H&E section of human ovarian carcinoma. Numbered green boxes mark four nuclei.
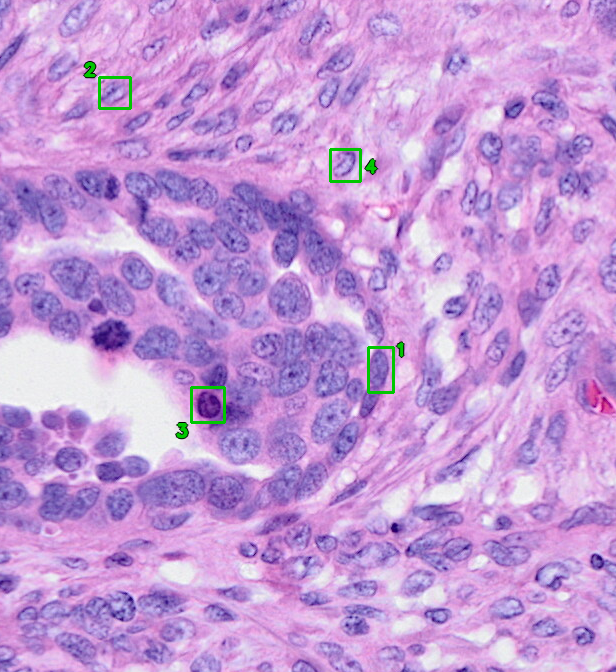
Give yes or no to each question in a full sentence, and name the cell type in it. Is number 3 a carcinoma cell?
Yes, the cell marked by the number 3 is a carcinoma cell.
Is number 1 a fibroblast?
No, cell 1 represents a carcinoma cell rather than a fibroblast.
